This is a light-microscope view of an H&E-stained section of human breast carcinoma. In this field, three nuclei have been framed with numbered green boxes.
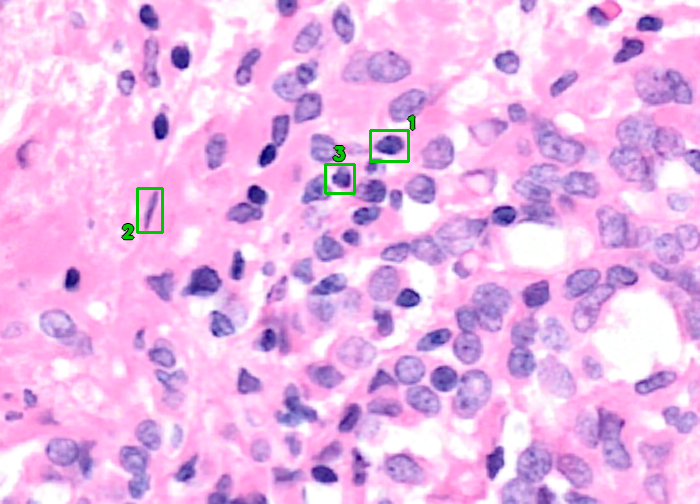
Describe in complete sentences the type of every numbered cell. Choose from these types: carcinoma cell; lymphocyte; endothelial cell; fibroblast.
Cells 1 and 3 are lymphocytes. Cell 2 is a fibroblast.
